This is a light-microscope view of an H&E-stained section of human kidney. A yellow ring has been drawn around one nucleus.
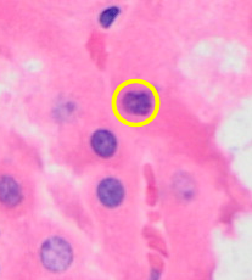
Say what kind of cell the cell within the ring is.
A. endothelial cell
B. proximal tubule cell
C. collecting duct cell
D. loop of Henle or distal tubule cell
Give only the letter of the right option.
B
